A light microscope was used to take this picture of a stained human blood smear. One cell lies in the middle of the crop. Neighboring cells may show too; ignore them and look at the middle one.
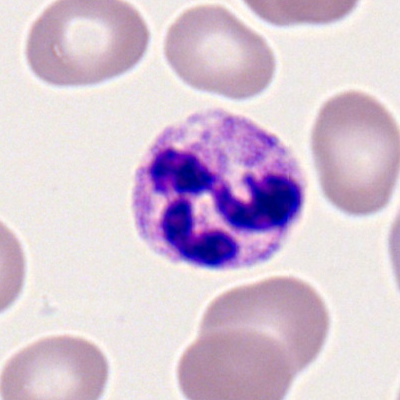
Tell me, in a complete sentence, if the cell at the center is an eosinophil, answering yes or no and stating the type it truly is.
No, rather than an eosinophil, the central cell is a neutrophil.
